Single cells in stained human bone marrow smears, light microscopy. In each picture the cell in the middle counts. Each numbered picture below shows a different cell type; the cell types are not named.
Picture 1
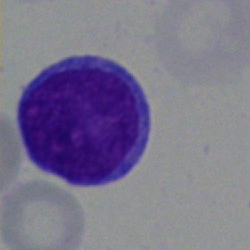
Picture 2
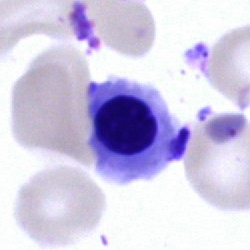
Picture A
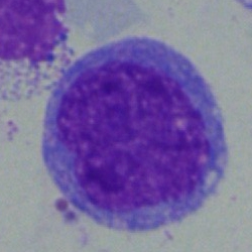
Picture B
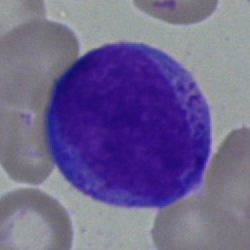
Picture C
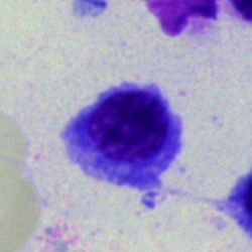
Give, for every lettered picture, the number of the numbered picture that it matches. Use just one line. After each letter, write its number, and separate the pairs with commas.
A 1, B 1, C 2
